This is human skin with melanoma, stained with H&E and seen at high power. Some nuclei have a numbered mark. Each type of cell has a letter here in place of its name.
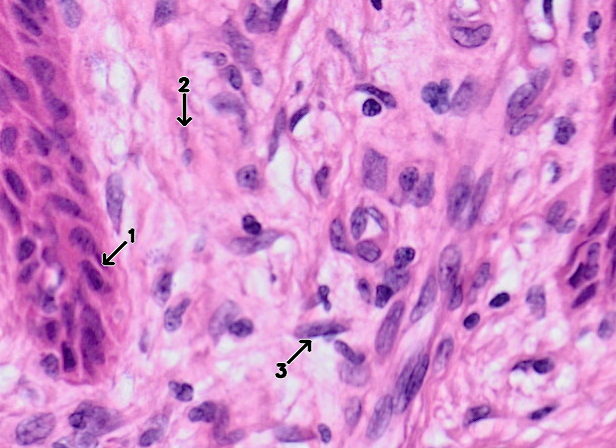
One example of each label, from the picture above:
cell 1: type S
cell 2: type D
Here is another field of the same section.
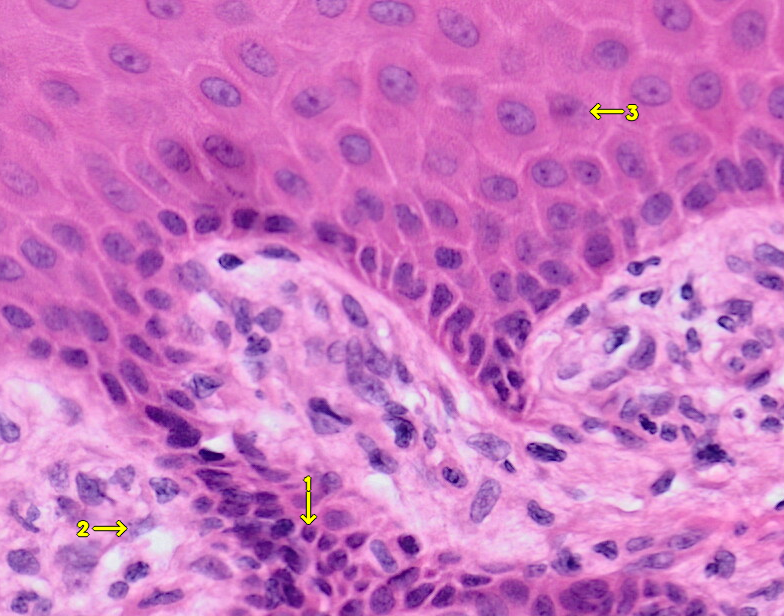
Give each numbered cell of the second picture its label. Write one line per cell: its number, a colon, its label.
1: type S
2: type D
3: type S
